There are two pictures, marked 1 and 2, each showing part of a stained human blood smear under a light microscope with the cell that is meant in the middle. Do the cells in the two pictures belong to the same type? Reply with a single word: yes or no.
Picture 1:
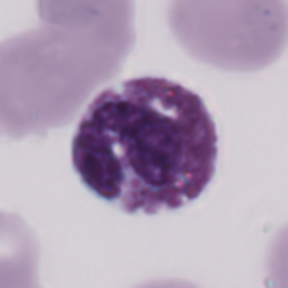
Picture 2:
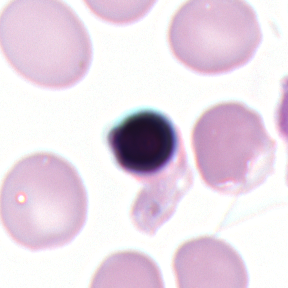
no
